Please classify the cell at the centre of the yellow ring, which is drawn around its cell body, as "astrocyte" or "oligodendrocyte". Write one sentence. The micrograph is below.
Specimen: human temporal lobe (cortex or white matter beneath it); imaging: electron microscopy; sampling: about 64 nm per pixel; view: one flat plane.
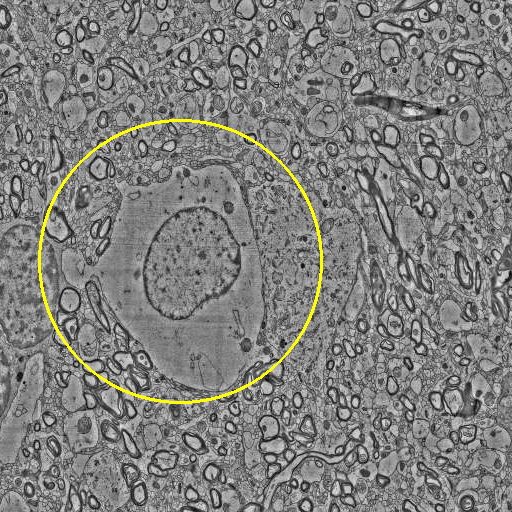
The cell at the ring's centre is classified as an astrocyte.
